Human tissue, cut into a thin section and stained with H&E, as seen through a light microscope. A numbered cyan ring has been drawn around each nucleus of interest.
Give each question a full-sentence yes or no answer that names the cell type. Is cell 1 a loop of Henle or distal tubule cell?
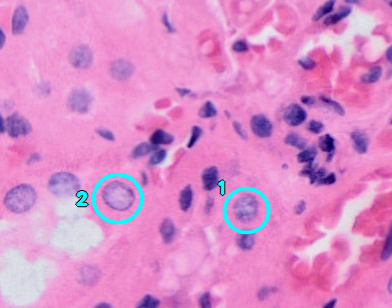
Yes, the cell that bears number 1 is a loop of Henle or distal tubule cell.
